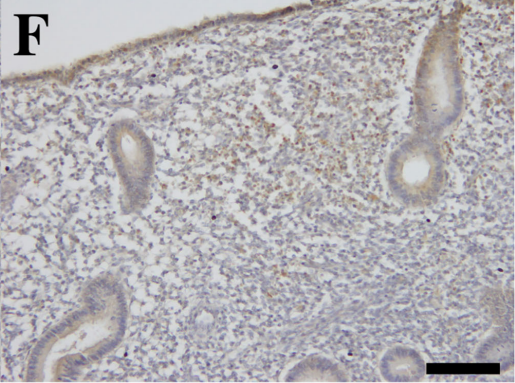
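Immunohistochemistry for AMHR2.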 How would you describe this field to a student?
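A loose, cell-rich tissue with scattered small round nuclei lies beneath a thin brown-stained surface lining, with several narrow tubular glands cut along and across. The glands are lined by columnar cells with pale brown cytoplasm and blue nuclei.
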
